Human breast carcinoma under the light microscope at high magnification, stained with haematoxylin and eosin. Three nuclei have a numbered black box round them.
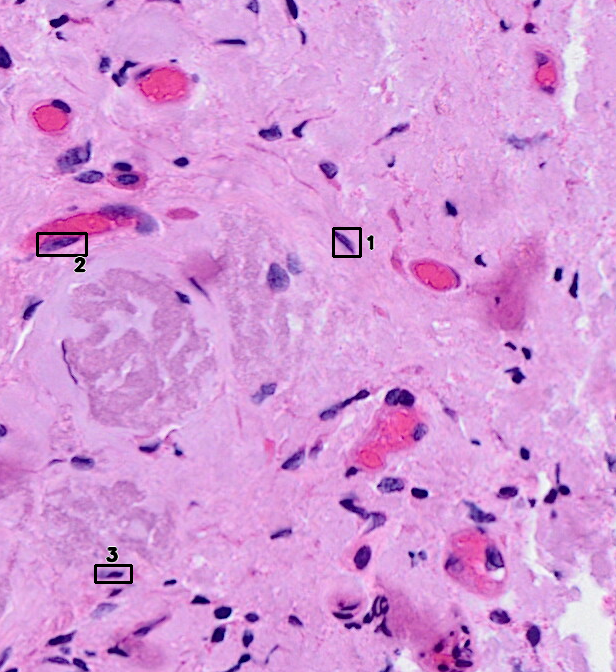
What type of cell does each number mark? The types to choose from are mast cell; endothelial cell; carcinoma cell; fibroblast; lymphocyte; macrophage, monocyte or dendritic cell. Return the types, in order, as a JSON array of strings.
["fibroblast", "endothelial cell", "fibroblast"]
